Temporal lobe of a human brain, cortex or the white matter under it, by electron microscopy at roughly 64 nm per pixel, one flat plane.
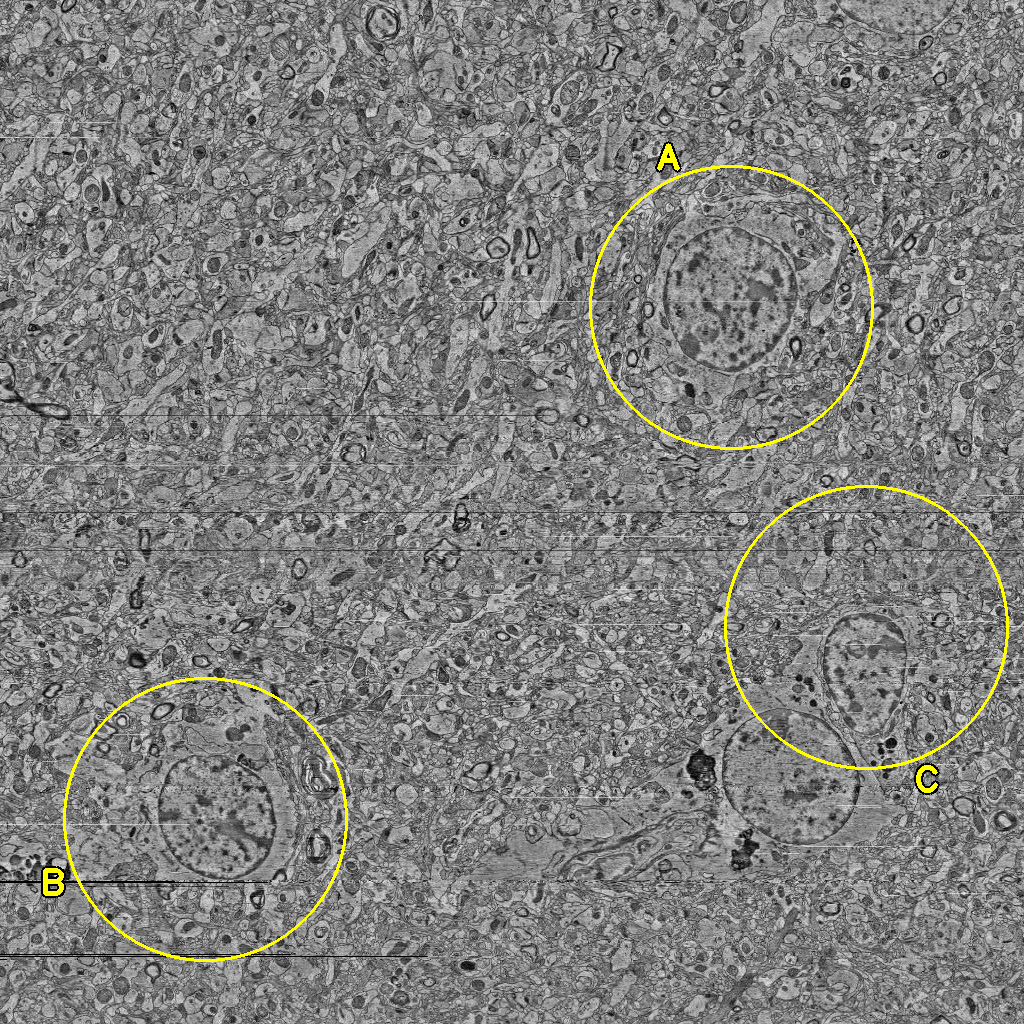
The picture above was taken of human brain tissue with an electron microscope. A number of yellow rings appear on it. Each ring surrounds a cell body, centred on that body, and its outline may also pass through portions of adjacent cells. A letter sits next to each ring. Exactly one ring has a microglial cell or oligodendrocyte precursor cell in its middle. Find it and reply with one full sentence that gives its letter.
Letter C labels the ring whose centre falls on a cell of that kind.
